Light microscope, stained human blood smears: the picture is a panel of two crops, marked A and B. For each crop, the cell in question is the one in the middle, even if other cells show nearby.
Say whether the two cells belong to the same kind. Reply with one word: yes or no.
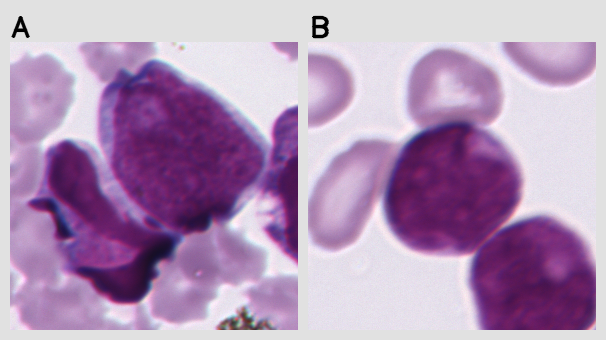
yes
